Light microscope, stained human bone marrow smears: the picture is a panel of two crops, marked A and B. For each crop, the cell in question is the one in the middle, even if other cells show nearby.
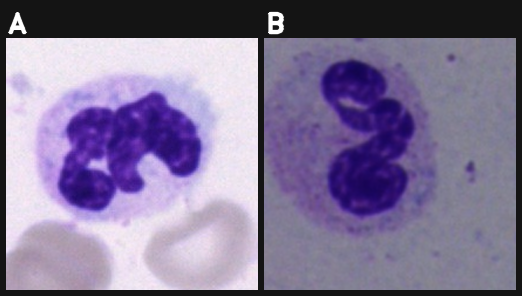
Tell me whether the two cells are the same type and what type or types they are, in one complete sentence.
Yes, both crops show neutrophils as their central cells.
